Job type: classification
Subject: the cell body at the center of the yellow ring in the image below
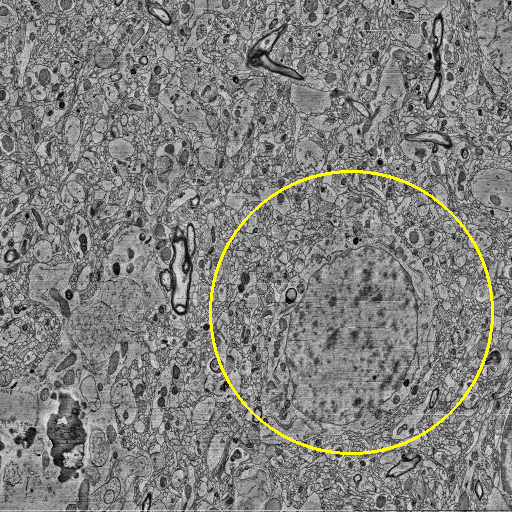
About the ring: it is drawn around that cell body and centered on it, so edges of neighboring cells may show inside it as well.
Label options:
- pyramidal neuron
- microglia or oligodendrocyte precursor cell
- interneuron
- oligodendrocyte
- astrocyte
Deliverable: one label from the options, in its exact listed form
interneuron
